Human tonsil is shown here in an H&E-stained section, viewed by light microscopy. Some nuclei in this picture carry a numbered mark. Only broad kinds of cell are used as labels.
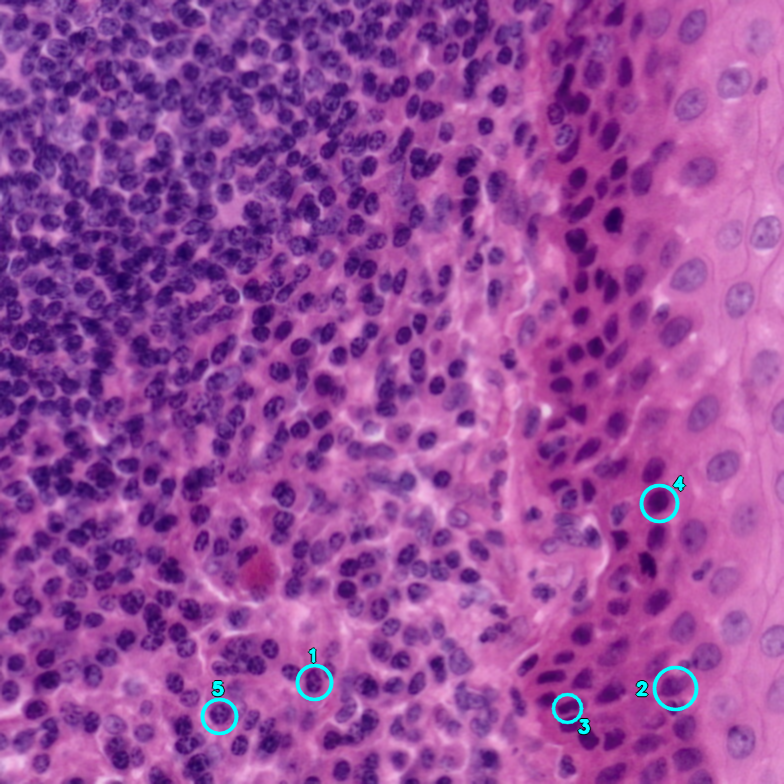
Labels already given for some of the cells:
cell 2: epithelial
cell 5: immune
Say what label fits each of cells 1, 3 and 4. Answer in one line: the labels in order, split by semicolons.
immune; epithelial; epithelial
